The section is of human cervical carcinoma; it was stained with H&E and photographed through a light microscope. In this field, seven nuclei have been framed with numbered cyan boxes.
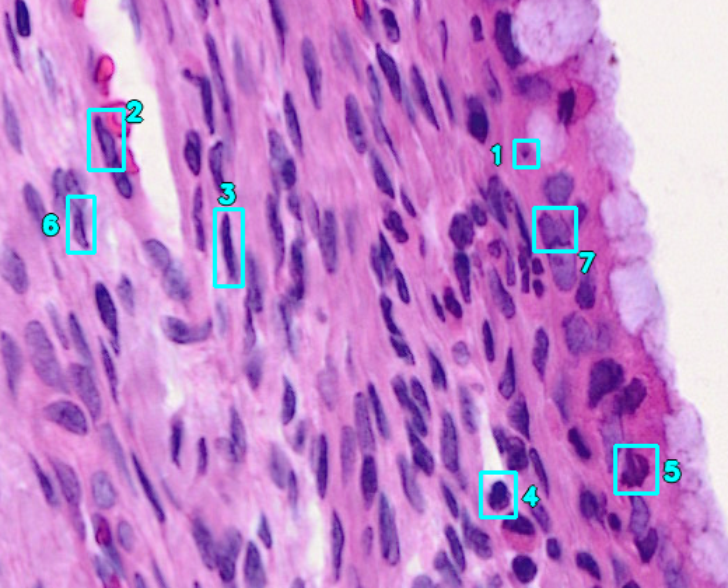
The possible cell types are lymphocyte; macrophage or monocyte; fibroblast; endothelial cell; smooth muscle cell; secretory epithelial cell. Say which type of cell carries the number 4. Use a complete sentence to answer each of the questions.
Recognised here as a lymphocyte is the cell numbered 4.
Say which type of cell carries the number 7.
In this section, number 7 marks a secretory epithelial cell.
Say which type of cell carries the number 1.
The identity of cell 1 is that of a secretory epithelial cell.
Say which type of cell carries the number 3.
The correct label for cell 3 is a fibroblast.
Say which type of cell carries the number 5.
Nucleus 5 in this section belongs to a secretory epithelial cell.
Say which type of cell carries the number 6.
The cell referenced by the number 6 is a fibroblast in this field.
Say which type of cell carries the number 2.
As for number 2, that cell is an endothelial cell.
